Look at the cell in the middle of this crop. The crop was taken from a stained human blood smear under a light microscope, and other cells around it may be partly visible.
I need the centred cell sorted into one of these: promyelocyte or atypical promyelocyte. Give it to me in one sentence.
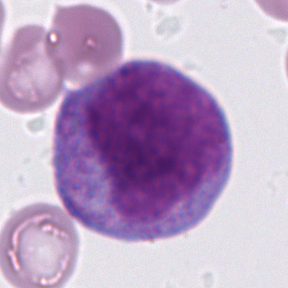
The cell of interest, located centrally, is a promyelocyte.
